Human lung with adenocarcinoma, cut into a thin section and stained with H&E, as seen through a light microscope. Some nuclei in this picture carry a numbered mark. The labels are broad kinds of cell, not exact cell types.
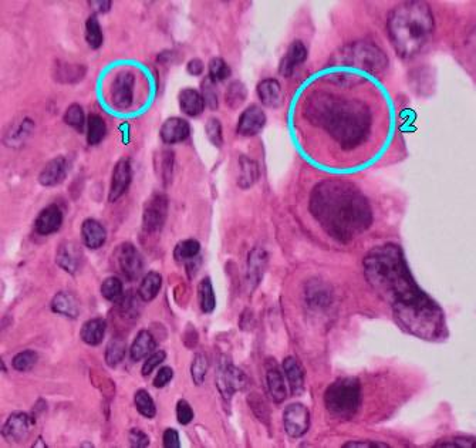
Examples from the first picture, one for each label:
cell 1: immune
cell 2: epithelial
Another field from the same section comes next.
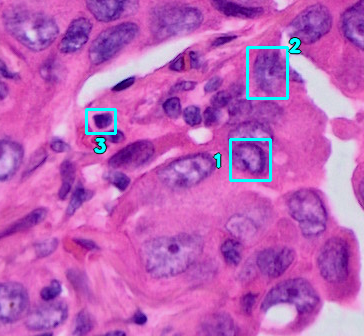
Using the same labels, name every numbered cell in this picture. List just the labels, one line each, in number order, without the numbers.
epithelial
epithelial
immune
